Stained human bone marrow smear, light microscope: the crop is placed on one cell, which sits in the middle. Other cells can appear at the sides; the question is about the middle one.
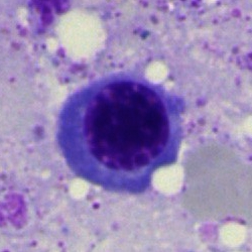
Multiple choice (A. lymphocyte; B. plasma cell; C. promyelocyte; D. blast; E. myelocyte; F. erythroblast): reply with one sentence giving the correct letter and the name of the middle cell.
The middle cell of the crop is an erythroblast; accordingly, option F is correct.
